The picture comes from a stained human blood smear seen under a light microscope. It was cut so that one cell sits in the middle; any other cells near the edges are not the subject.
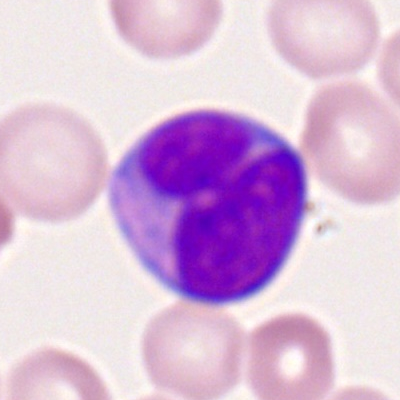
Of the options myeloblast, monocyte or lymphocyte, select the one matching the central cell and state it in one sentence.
The central element of this crop is a cell, namely a myeloblast.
